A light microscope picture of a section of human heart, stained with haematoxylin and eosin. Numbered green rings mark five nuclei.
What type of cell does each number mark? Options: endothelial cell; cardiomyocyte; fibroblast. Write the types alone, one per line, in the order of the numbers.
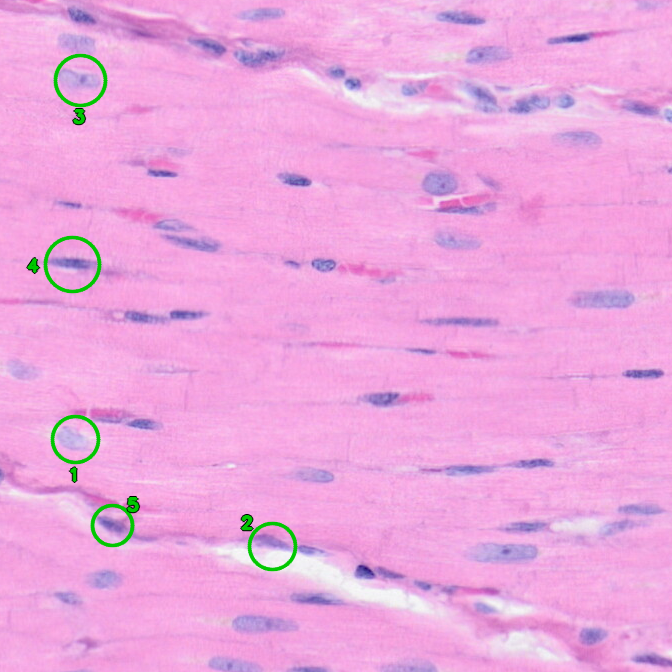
cardiomyocyte
fibroblast
cardiomyocyte
endothelial cell
fibroblast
